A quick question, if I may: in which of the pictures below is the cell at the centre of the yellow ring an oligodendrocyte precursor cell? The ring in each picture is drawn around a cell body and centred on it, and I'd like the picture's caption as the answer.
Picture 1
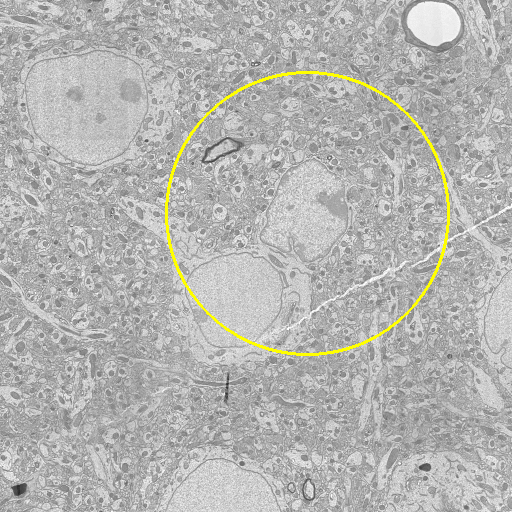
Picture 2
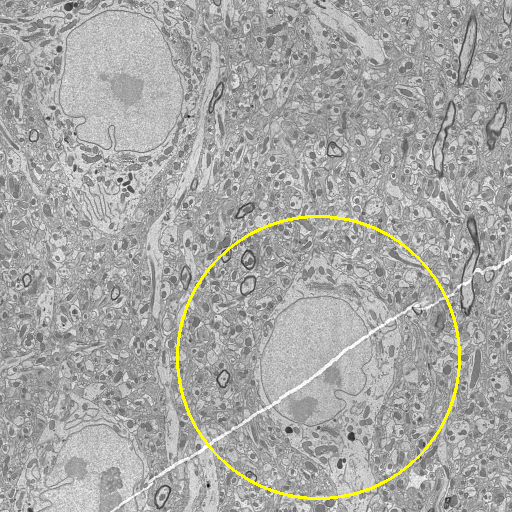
Picture 1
